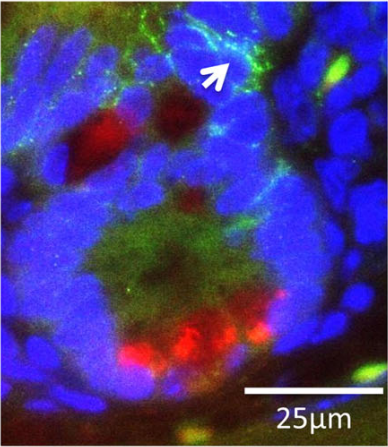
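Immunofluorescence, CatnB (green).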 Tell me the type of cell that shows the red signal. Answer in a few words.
Paneth cells.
